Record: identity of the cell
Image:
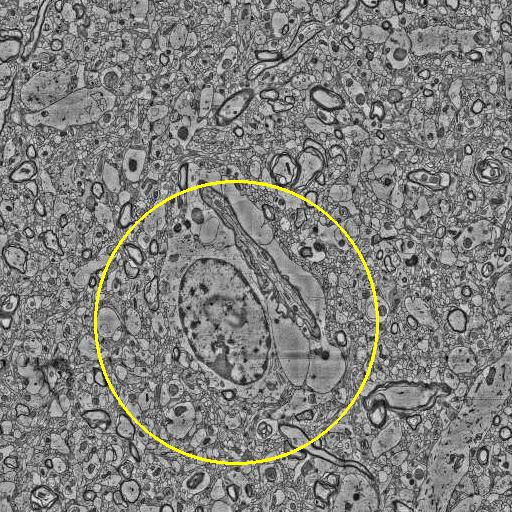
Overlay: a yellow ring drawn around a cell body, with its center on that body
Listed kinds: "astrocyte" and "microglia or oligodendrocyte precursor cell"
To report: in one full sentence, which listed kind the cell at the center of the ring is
In the image, the cell body at the ring's center belongs to a microglial cell or oligodendrocyte precursor cell.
